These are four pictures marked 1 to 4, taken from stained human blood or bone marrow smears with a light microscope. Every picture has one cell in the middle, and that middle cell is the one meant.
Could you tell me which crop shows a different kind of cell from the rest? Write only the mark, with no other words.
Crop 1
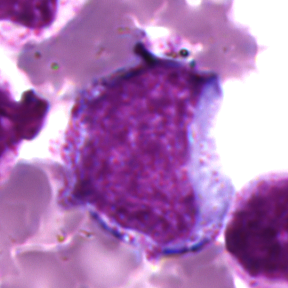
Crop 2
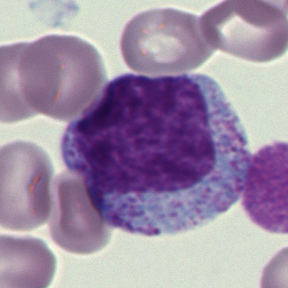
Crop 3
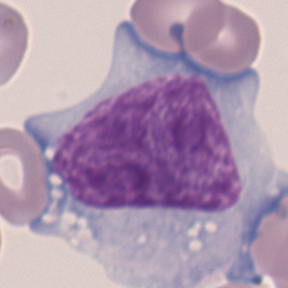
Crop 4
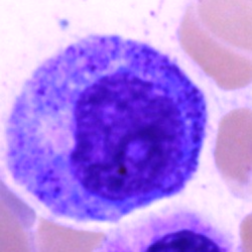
3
